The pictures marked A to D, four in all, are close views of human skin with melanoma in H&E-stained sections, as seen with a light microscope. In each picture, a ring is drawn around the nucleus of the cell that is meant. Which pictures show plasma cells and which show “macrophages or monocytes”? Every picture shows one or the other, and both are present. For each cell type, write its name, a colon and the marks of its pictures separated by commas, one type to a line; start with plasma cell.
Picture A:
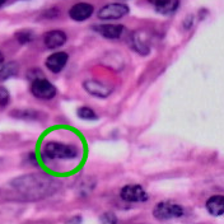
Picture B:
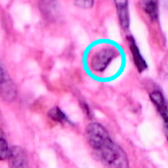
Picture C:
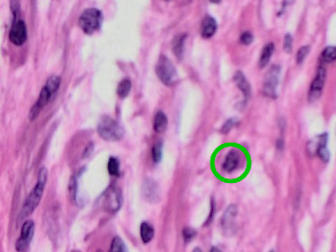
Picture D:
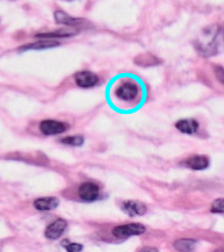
plasma cell: A, C, D
macrophage or monocyte: B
